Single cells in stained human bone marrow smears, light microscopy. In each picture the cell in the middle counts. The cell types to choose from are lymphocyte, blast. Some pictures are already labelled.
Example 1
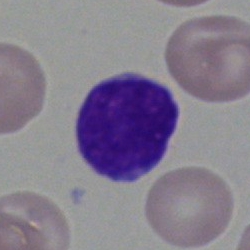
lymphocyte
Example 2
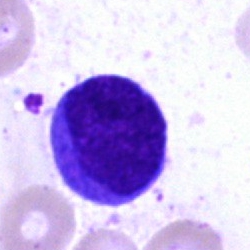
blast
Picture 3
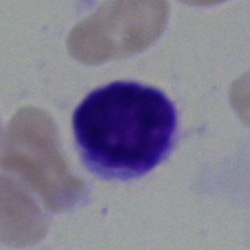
lymphocyte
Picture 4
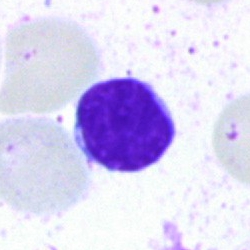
lymphocyte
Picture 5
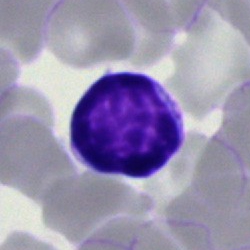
lymphocyte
